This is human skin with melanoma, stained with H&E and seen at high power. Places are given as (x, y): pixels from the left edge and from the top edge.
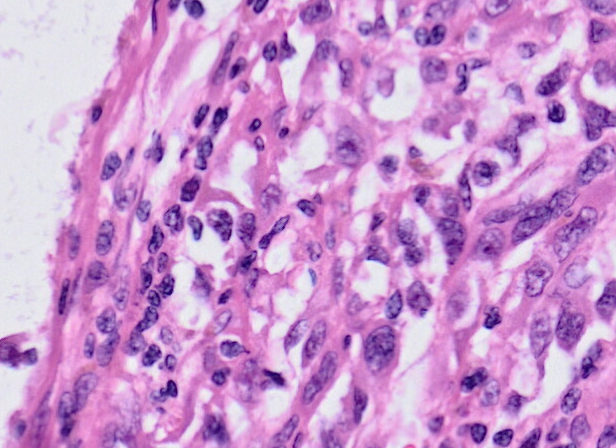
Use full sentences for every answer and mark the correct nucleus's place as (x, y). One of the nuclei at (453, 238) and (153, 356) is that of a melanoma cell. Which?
The cell to which the nucleus at (453, 238) belongs is a melanoma cell.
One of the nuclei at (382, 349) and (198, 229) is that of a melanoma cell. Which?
The nucleus situated at (382, 349) is the one belonging to a melanoma cell.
